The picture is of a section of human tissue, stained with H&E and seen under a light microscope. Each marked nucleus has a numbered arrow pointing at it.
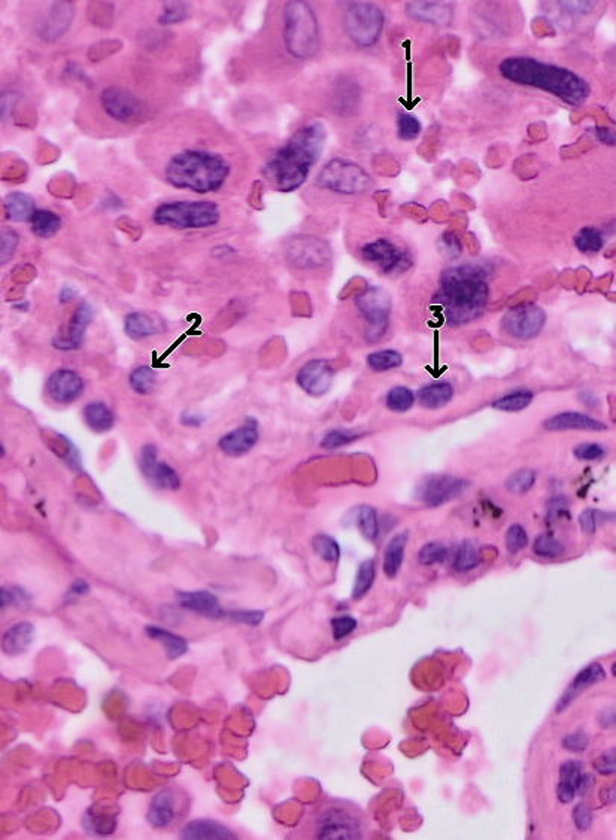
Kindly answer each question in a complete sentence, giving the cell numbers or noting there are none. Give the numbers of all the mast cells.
Just one numbered cell is a mast cell, and that cell is number 2.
